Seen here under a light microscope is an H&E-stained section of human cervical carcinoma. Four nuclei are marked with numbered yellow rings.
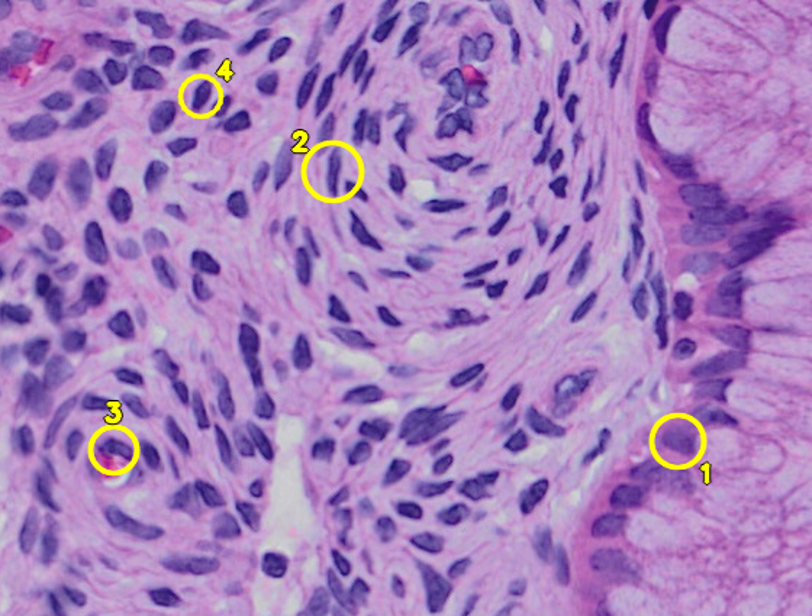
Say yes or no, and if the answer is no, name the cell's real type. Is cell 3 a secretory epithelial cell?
No, it is an endothelial cell.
